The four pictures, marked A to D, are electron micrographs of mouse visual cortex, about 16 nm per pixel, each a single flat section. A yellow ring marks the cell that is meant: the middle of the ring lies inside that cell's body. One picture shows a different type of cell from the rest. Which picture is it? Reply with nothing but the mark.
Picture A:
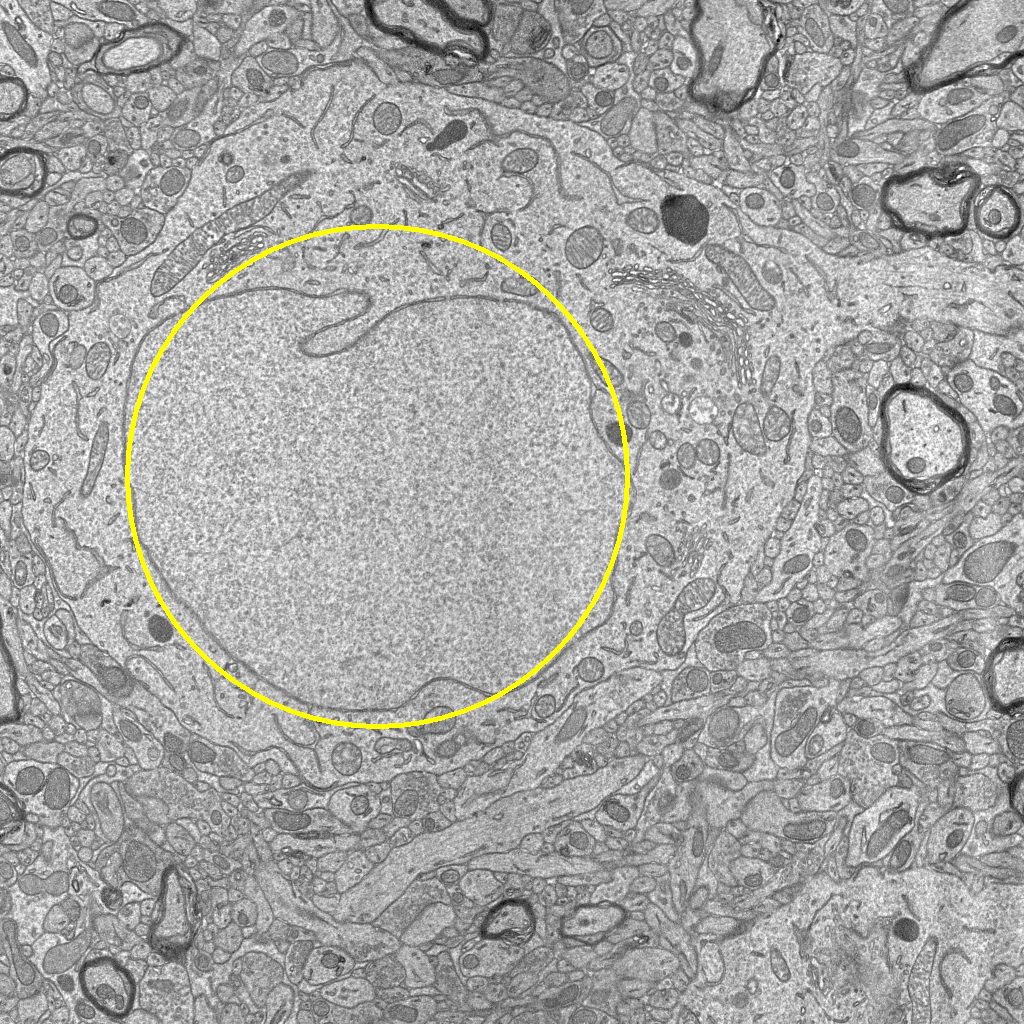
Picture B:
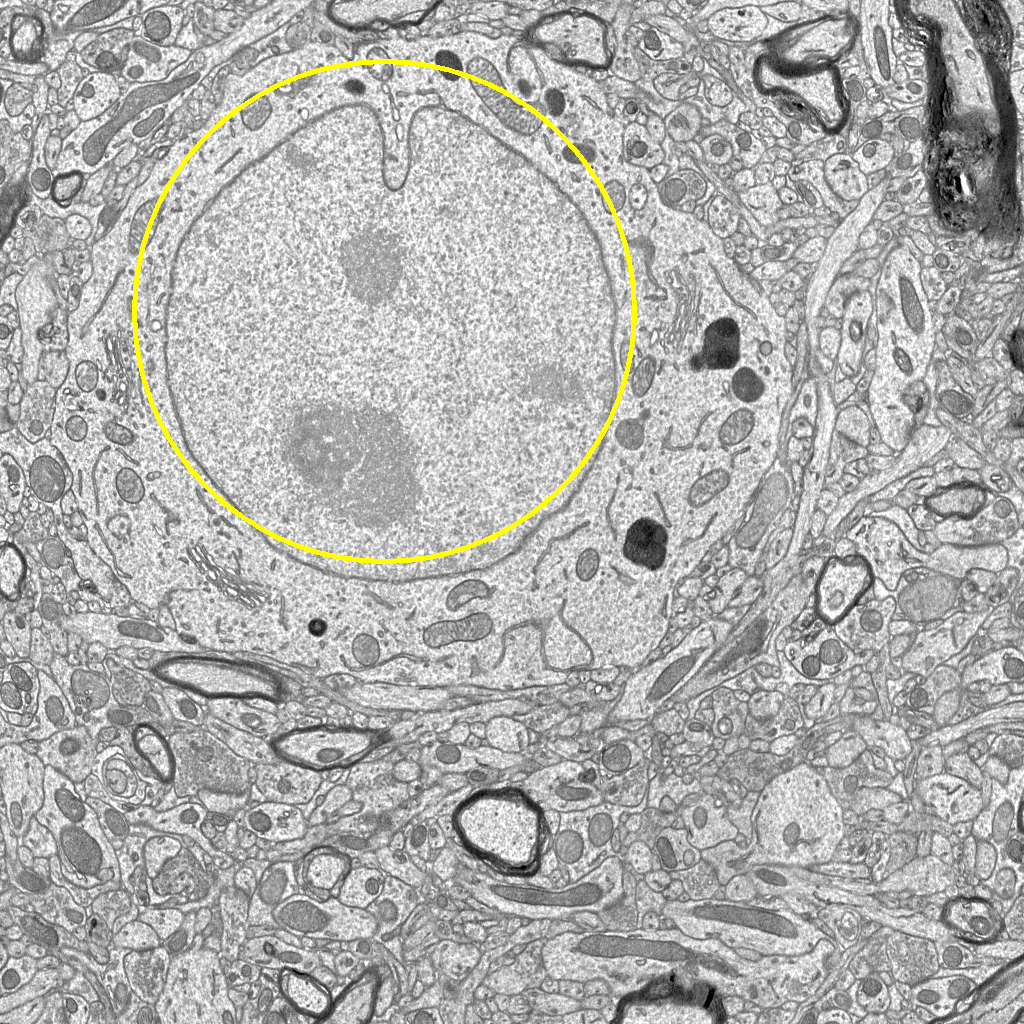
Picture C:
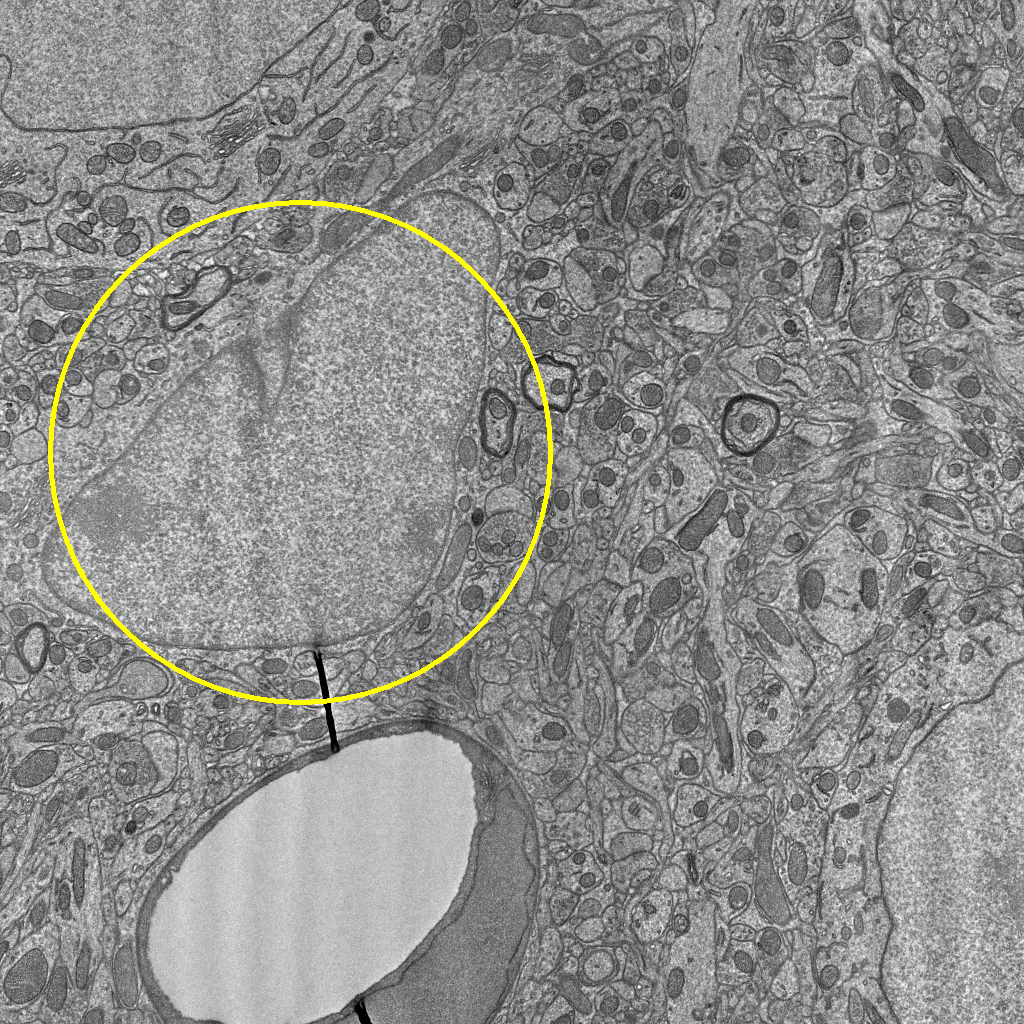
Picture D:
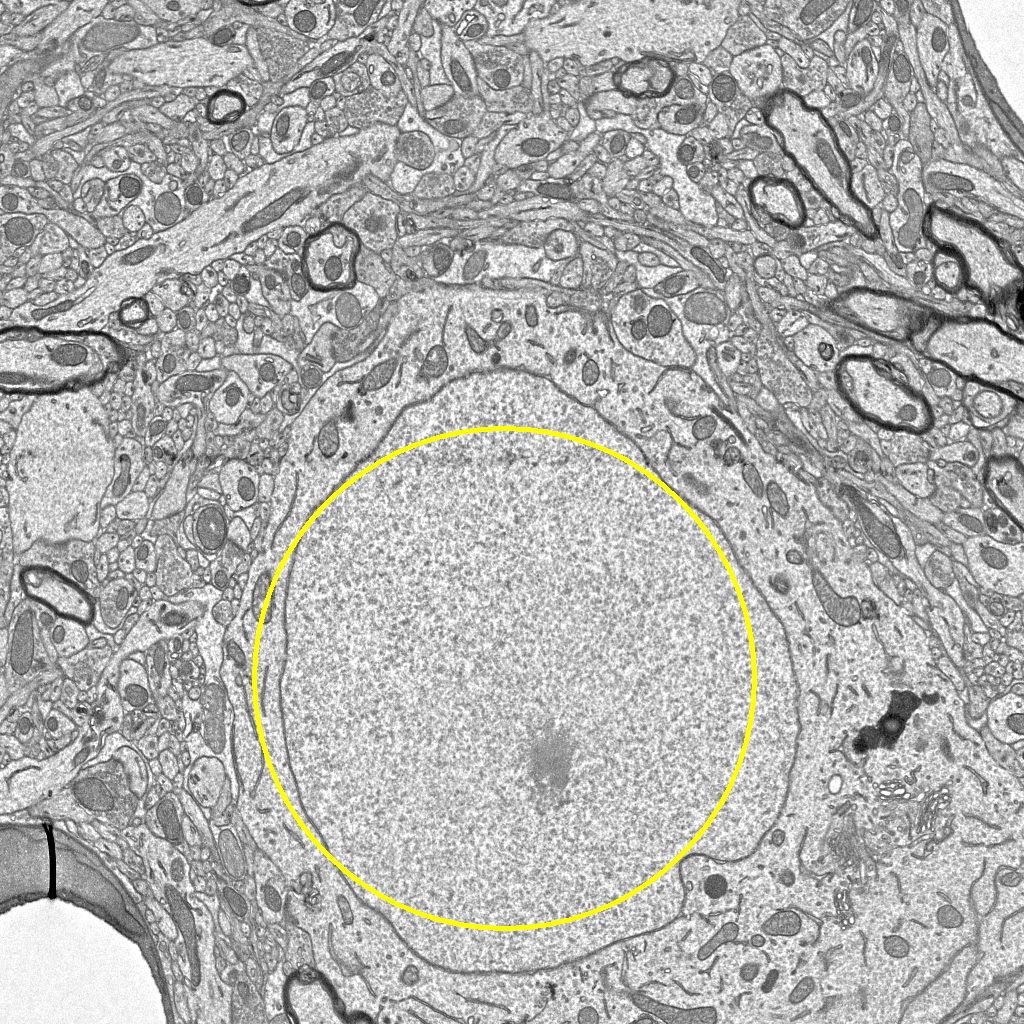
C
